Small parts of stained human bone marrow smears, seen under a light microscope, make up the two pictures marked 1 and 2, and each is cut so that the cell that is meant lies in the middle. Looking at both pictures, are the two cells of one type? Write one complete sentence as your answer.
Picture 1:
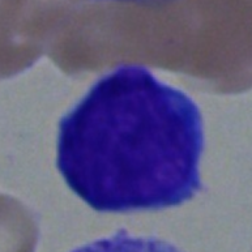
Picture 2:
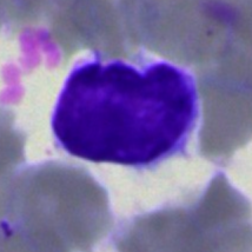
Yes, the two pictures both show lymphocytes.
